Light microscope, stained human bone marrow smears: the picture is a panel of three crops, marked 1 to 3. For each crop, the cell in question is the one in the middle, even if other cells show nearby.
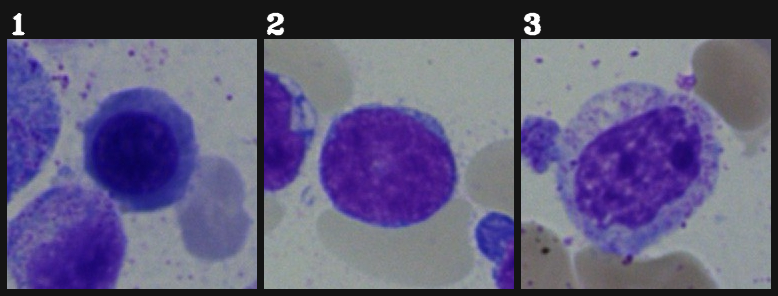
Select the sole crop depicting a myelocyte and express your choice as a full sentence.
In this series, a myelocyte is shown by crop 3.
